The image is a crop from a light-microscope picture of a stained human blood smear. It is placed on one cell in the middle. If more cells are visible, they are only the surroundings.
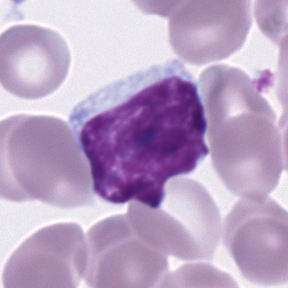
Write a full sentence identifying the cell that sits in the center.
Looking at the middle of the crop, the cell there is a typical lymphocyte.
